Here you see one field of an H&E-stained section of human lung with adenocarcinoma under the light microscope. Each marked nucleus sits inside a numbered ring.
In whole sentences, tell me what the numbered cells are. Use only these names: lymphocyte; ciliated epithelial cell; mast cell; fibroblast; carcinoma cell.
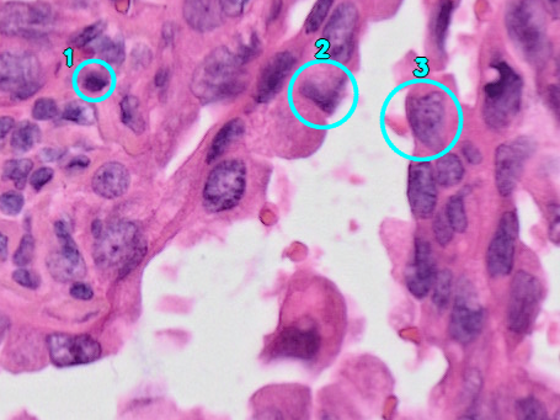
Cell 1 is a lymphocyte. Cells 2 and 3 are carcinoma cells.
